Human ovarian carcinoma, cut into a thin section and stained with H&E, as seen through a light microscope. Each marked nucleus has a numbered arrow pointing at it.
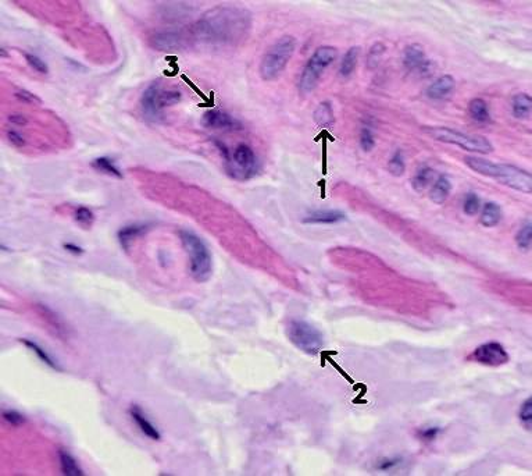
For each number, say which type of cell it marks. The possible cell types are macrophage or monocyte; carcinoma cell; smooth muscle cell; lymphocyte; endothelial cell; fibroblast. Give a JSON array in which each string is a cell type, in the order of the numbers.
["smooth muscle cell", "fibroblast", "endothelial cell"]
